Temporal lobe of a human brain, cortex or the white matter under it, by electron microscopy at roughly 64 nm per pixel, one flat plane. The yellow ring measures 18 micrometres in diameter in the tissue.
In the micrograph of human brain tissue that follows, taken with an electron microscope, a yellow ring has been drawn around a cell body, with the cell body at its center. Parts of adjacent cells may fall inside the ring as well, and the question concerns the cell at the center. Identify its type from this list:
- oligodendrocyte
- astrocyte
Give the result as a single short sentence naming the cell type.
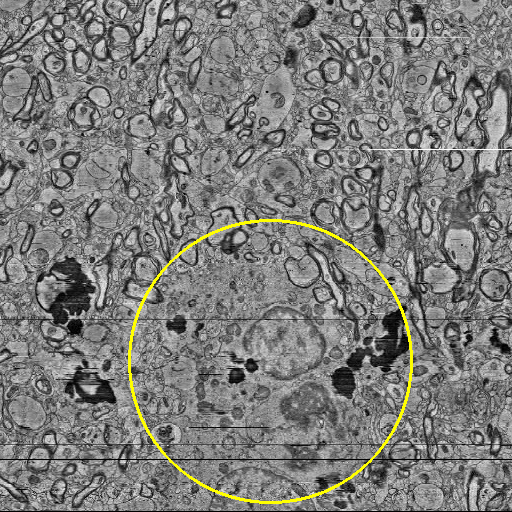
The ring is centered on an oligodendrocyte.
